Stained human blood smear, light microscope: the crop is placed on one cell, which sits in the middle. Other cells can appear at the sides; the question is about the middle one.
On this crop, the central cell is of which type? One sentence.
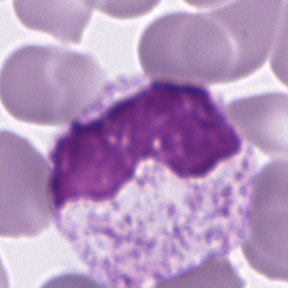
Looking at the middle of the crop, the cell there is a band neutrophil.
